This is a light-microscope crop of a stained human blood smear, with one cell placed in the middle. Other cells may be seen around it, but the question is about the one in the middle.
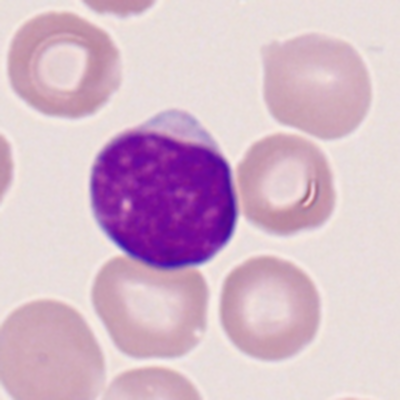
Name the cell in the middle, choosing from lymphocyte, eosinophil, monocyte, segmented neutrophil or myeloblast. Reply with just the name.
myeloblast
